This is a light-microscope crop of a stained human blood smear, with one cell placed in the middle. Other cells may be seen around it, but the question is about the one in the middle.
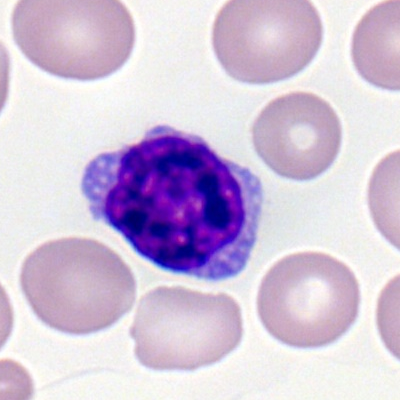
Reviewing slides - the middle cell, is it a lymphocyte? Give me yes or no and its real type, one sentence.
Yes, it is a lymphocyte that occupies the centre of the crop.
